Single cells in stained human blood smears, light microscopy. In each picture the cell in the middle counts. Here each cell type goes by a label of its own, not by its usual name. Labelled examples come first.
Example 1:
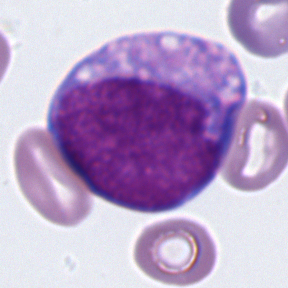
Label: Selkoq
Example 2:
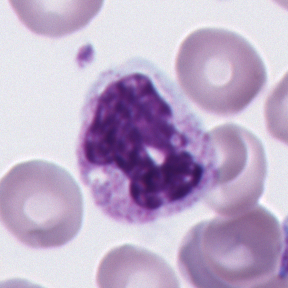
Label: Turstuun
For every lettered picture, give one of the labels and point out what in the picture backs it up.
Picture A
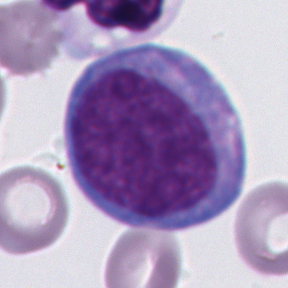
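Answer: Selkoq. The cytoplasm is blue.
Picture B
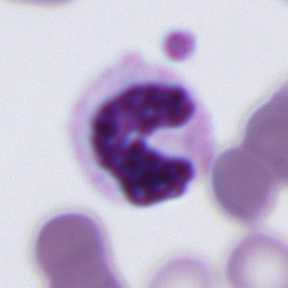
Answer: Turstuun. The nucleus is a curved C-shaped band whose opening faces right.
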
